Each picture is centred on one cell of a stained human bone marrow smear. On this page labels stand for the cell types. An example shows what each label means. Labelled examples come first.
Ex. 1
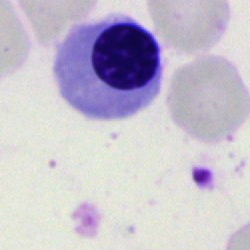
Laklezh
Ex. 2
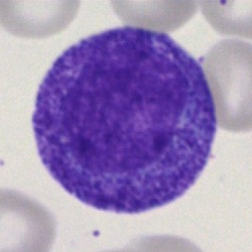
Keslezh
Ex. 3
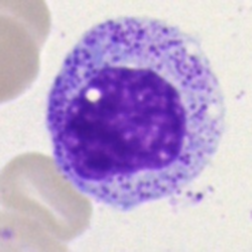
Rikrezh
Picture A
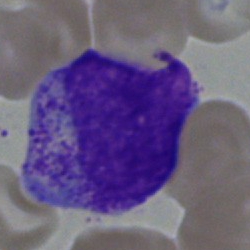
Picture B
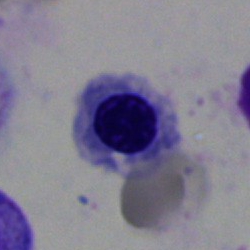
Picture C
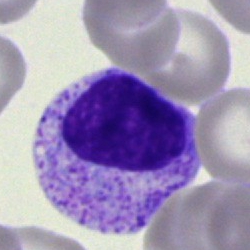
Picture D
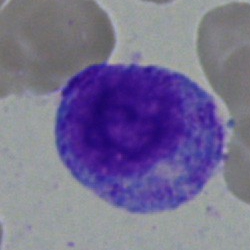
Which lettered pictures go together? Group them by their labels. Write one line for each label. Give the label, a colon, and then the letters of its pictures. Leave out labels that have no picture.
Laklezh: B
Keslezh: D
Rikrezh: A, C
